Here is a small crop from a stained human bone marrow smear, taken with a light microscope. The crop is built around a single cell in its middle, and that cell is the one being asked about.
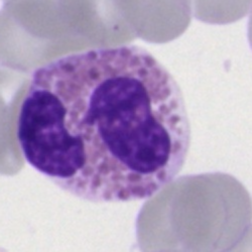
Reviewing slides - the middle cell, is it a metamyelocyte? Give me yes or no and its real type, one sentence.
No, the cell in the centre is an eosinophil instead of a metamyelocyte.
